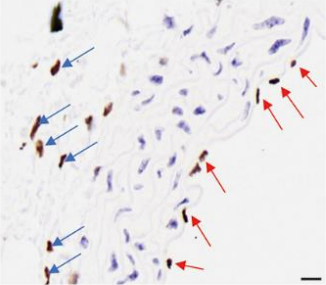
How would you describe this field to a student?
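The wall is made of pale, wavy fibrous layers with slender, elongated nuclei tucked between them. Many of these nuclei are stained a dark brown, while others show only the blue-purple counterstain. Brown nuclei are found both in the loose outer tissue among fibroblasts and along a thin layer at the opposite edge of the wall.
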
